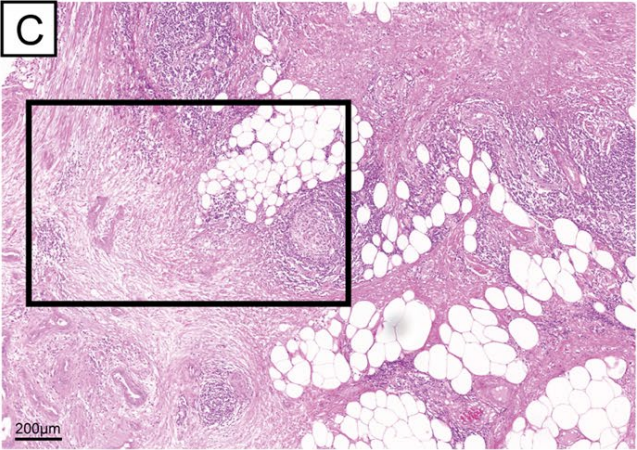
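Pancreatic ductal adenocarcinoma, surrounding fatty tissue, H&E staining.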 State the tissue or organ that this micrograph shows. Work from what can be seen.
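Desmoplastic tumorous stroma. Broad areas of pale pink fibrous tissue with spindle nuclei surround the fat lobules.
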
